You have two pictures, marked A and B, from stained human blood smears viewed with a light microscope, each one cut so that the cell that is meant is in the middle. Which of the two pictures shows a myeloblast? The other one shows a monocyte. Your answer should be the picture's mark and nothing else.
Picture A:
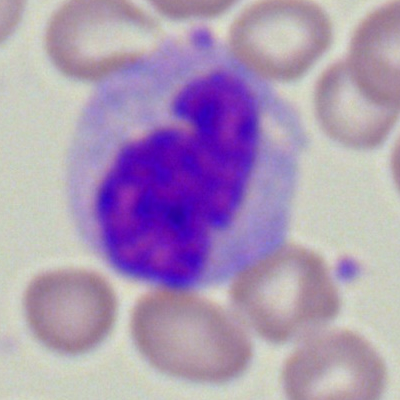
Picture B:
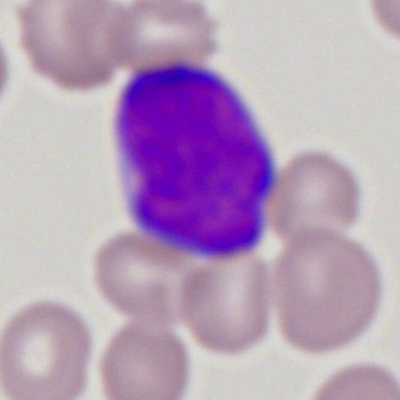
B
